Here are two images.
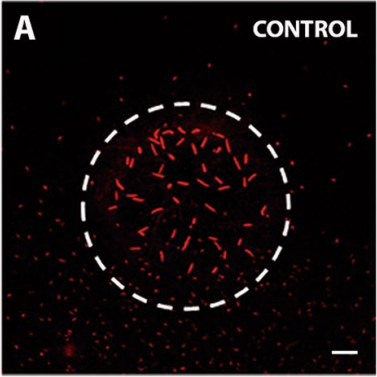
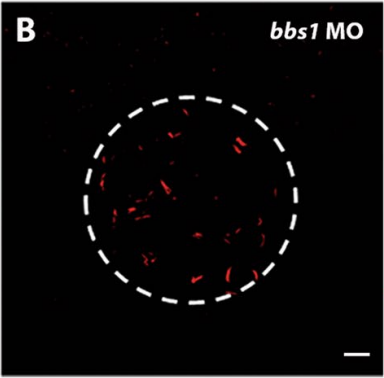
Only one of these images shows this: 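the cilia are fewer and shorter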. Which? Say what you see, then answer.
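The second image. Second image: only a sparse scattering of short red rods lies inside the circle. First image: the circle is filled with many longer red rods.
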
